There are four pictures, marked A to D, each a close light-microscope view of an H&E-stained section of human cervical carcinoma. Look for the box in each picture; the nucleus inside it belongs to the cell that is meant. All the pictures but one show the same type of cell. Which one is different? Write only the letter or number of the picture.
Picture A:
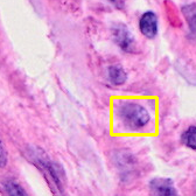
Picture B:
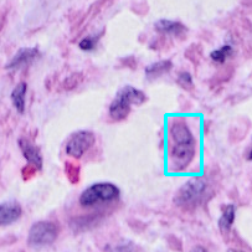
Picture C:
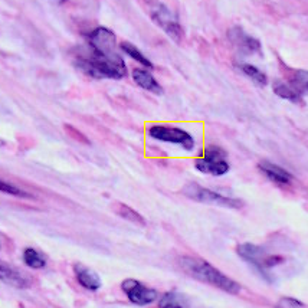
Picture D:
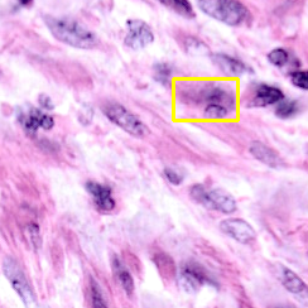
C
